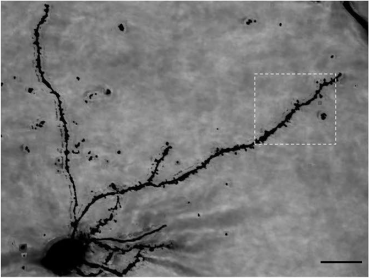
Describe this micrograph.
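Several long dendrites leave the cell body and run upward and to the right, some of them branching. The dendrite shafts are studded with small dark spines, clearest in the segment outlined by a dashed box. Scattered small black deposits lie in the surrounding field.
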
